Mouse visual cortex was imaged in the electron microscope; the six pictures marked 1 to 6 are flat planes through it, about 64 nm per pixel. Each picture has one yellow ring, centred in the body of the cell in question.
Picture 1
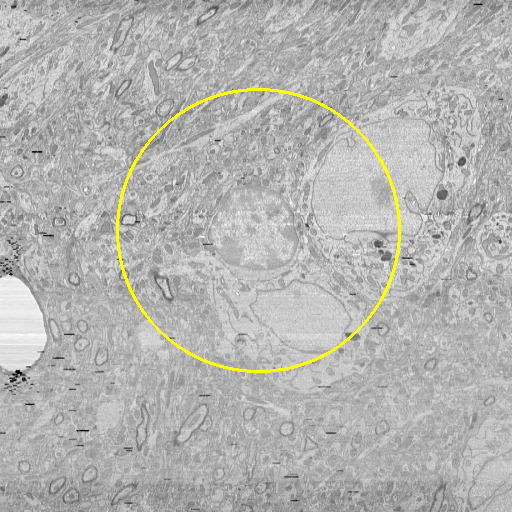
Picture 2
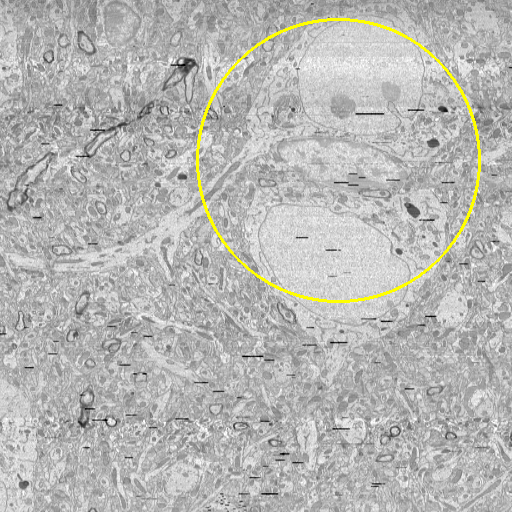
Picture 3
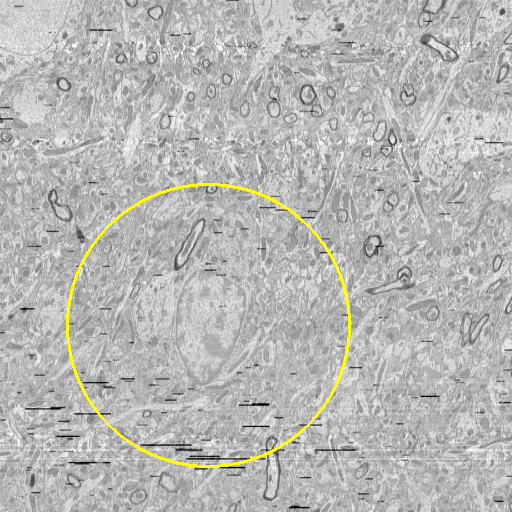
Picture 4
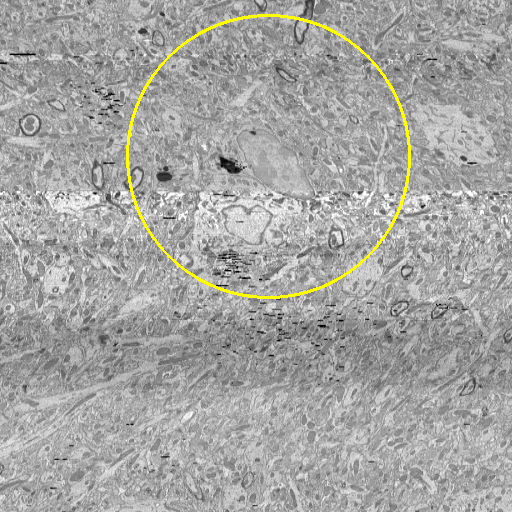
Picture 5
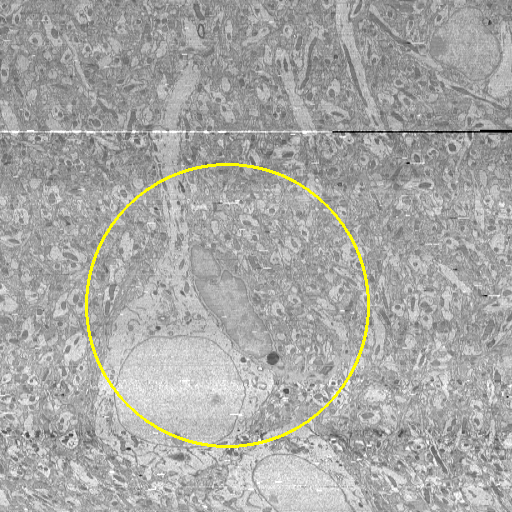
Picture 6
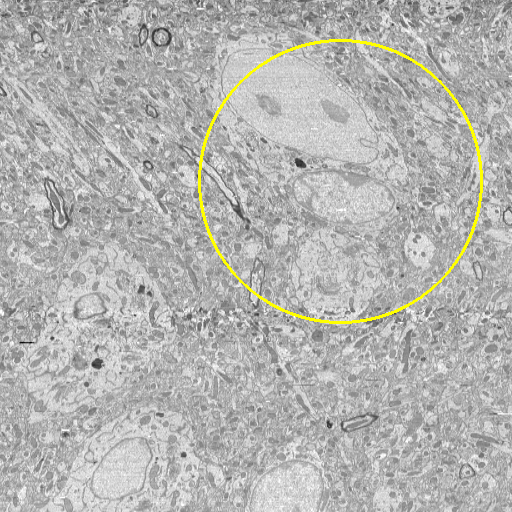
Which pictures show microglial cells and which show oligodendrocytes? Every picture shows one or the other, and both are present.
Pictures 4 and 5 show microglial cells; pictures 1, 2, 3 and 6 show oligodendrocytes.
